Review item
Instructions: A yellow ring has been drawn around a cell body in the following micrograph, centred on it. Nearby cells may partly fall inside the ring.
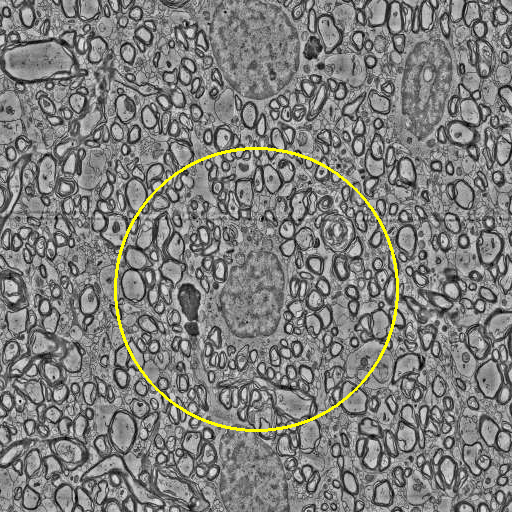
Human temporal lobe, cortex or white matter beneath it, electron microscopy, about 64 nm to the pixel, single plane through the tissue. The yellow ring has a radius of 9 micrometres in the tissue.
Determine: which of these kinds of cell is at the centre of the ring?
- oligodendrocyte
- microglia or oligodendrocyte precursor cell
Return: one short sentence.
The cell body in the middle of the ring is that of an oligodendrocyte.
